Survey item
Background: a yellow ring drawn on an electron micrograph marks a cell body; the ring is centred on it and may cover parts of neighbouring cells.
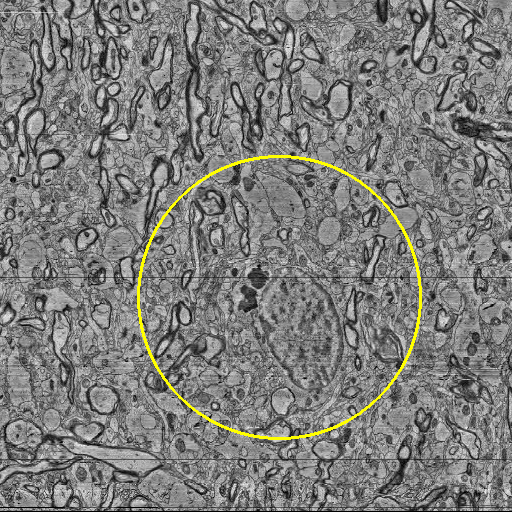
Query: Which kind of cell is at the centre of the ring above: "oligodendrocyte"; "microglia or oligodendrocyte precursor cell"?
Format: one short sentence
The cell in the middle of the ring is an oligodendrocyte.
